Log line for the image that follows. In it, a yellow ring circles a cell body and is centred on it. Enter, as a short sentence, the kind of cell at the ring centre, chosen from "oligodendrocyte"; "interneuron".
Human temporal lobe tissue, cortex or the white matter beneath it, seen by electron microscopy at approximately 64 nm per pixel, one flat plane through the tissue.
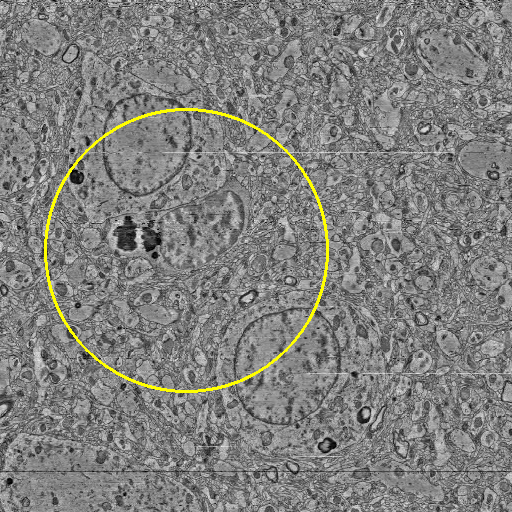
The ring centre is occupied by an oligodendrocyte.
